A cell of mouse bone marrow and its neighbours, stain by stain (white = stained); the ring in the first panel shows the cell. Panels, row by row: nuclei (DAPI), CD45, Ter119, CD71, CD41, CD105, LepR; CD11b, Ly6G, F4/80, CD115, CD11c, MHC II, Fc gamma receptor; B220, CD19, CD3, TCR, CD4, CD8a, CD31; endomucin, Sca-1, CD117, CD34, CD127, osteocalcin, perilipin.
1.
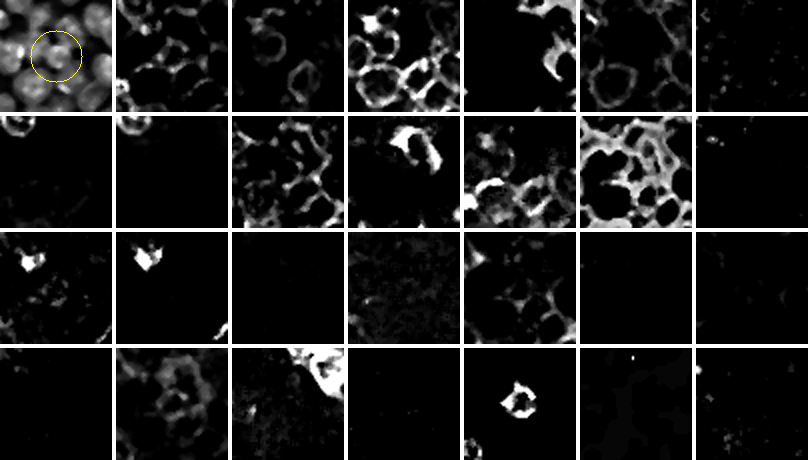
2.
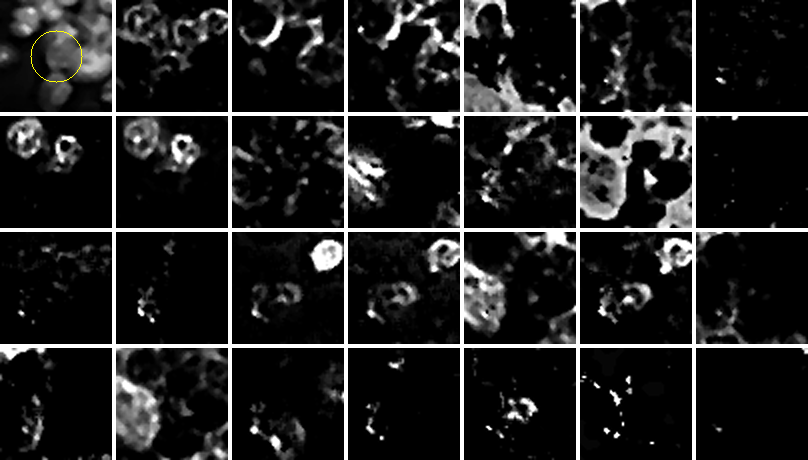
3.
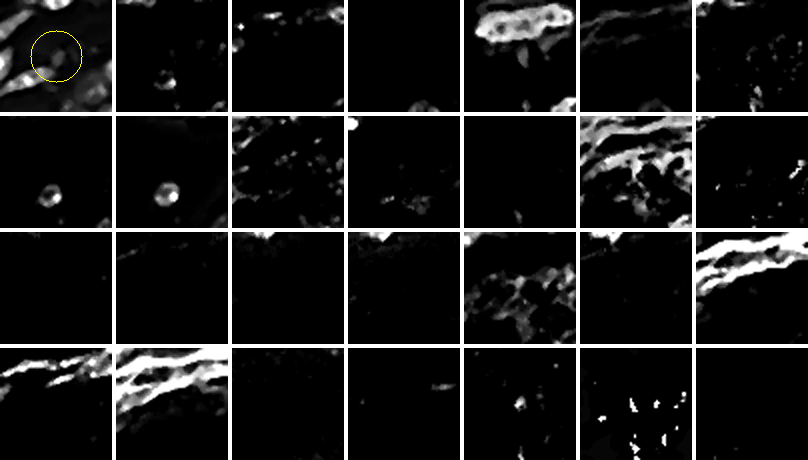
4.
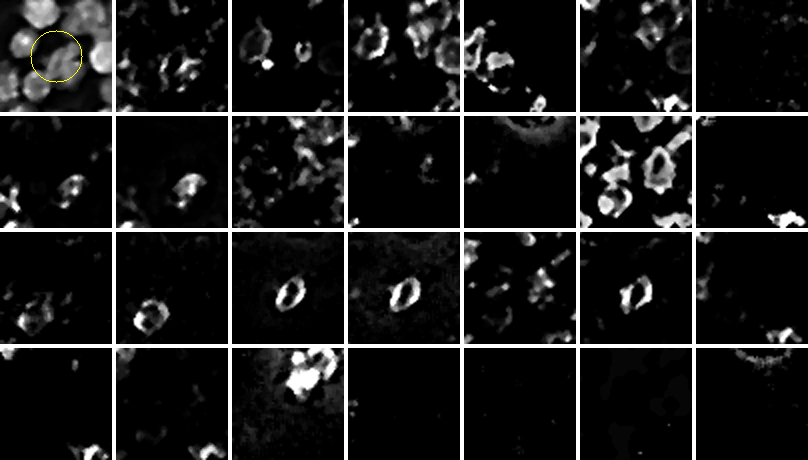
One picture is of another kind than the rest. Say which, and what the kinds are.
Picture 4 shows a double-negative T cell; the rest show common lymphoid progenitors.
